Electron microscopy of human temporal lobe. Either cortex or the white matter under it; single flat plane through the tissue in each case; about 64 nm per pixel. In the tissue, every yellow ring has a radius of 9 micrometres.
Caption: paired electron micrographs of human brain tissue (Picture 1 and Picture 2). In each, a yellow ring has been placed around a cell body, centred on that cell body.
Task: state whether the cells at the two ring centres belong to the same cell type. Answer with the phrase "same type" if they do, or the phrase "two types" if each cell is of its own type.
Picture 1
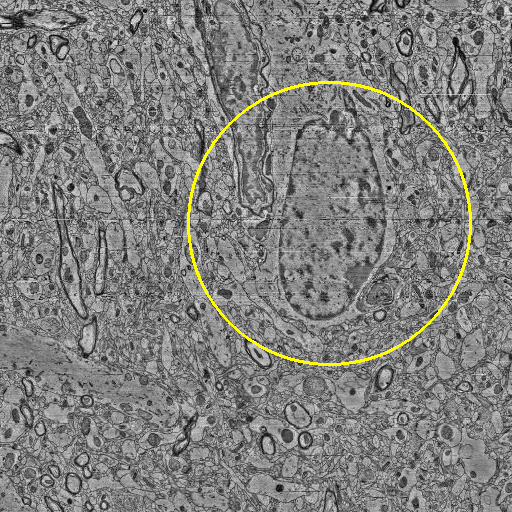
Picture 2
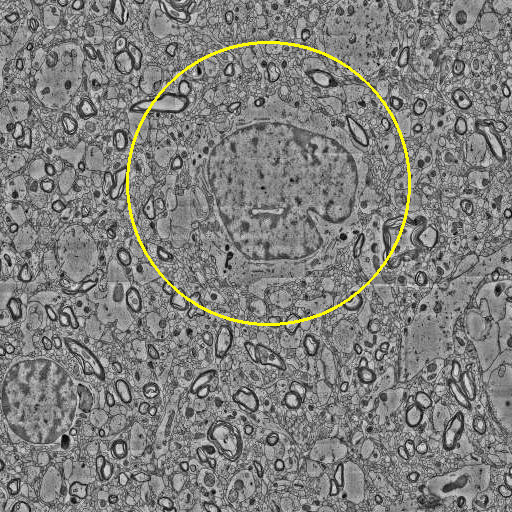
same type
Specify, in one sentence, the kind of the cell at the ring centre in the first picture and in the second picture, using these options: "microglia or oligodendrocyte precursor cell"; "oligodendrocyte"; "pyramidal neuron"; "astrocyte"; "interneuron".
In the first picture and in the second, the ring is centred on a microglial cell or oligodendrocyte precursor cell.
